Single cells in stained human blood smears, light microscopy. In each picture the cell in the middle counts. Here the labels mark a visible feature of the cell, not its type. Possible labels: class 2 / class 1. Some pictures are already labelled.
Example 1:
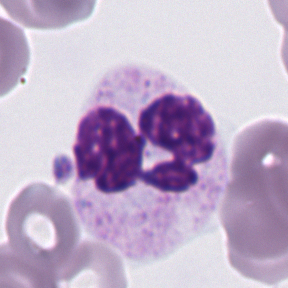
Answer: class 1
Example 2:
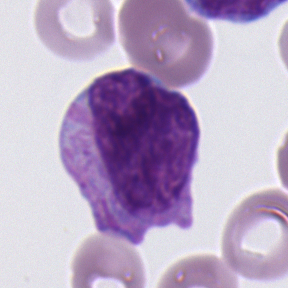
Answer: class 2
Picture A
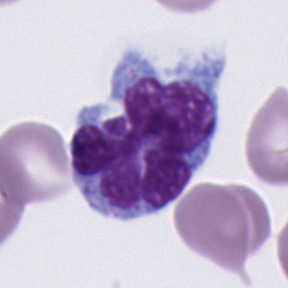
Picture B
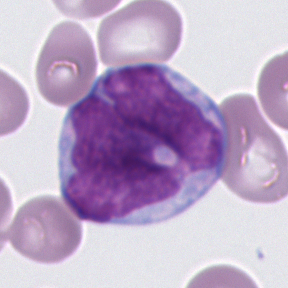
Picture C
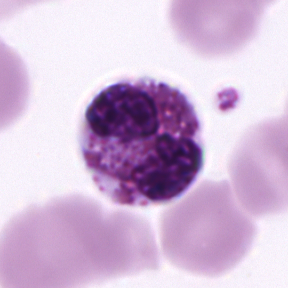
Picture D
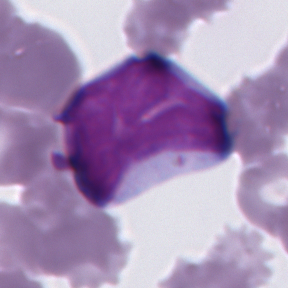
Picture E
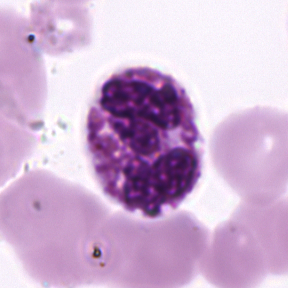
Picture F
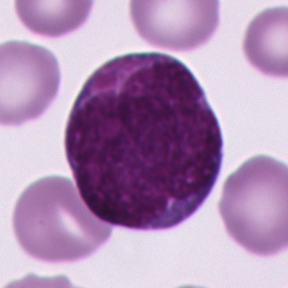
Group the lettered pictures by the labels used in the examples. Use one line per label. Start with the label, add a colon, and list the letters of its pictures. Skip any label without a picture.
class 2: A, D
class 1: B, C, E, F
